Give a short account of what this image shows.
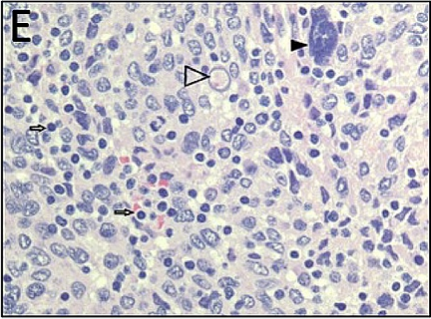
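Tumor tissue in which oval tumor cells with pale vesicular nuclei and dispersed chromatin are intermixed with many small round cells bearing dense dark nuclei, consistent with inflammatory cells. Near the upper right a large multinucleated cell holds several overlapping dark nuclei. In the upper middle a nucleus contains a sharply round, clear space bordered by a thin dark rim, an intranuclear pseudoinclusion. Cytoplasm is pale pink with indistinct borders, and a few red blood cells are scattered in the lower middle. Some cells show small clear vacuoles.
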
